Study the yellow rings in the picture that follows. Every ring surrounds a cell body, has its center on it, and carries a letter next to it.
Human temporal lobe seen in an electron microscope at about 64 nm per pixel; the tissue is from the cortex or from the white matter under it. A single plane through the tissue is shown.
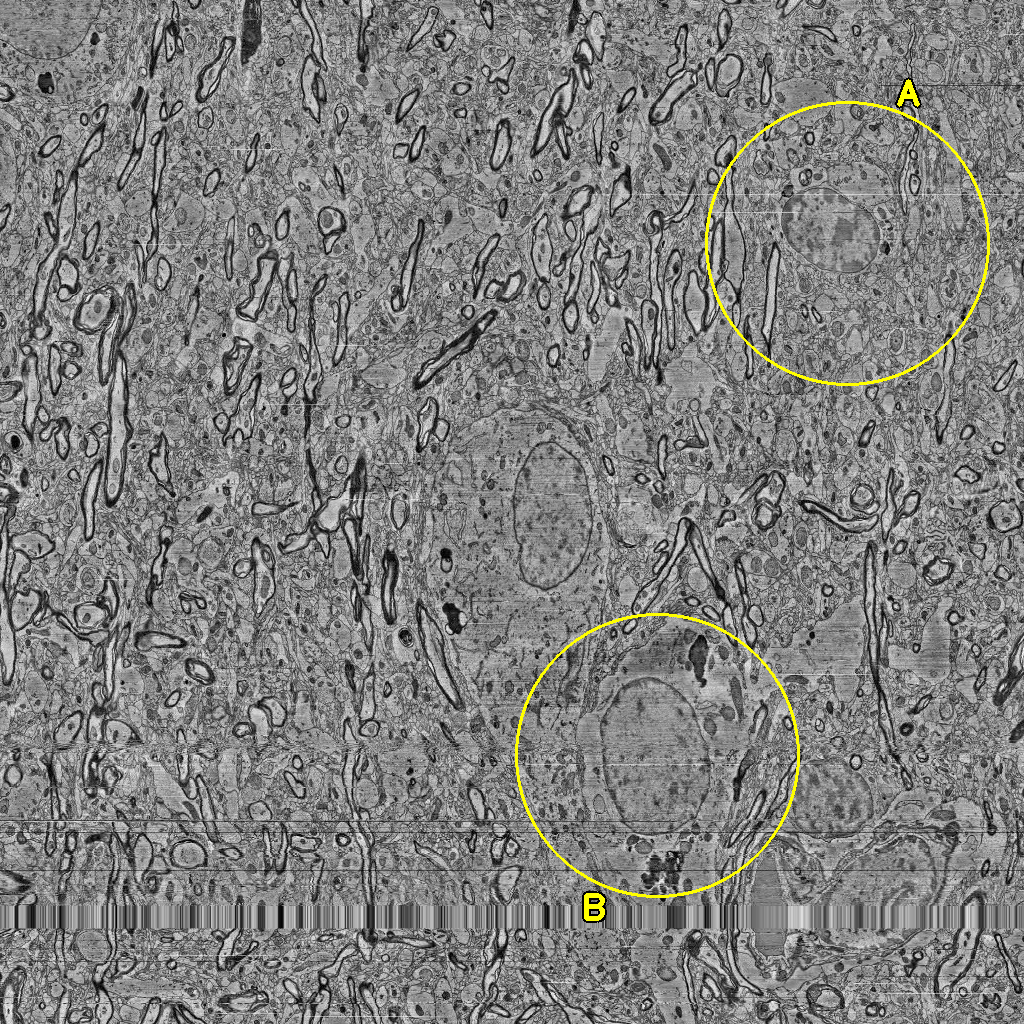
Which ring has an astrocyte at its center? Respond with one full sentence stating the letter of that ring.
The ring centered on the cell asked for carries the letter B.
